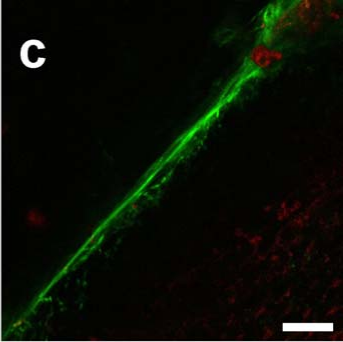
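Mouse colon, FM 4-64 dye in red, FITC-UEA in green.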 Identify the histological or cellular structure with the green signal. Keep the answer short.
Mucus trail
